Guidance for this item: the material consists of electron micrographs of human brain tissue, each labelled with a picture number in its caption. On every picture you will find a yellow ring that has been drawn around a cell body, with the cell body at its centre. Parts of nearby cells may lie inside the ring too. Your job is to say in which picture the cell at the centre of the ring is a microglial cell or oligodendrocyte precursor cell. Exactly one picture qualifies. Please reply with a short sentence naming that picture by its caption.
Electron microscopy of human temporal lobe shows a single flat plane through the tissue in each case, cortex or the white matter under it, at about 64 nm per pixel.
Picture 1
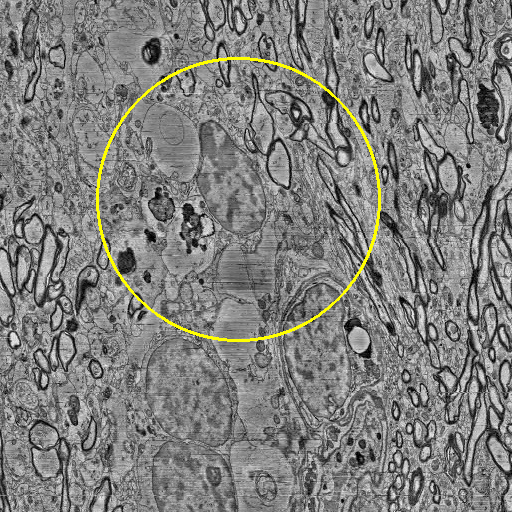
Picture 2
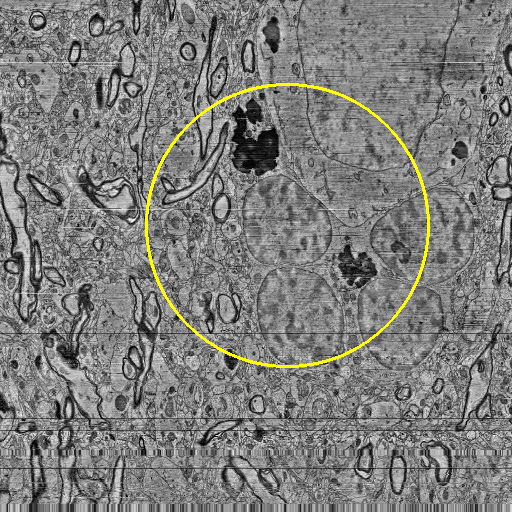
Picture 1 shows it at the centre of the ring.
